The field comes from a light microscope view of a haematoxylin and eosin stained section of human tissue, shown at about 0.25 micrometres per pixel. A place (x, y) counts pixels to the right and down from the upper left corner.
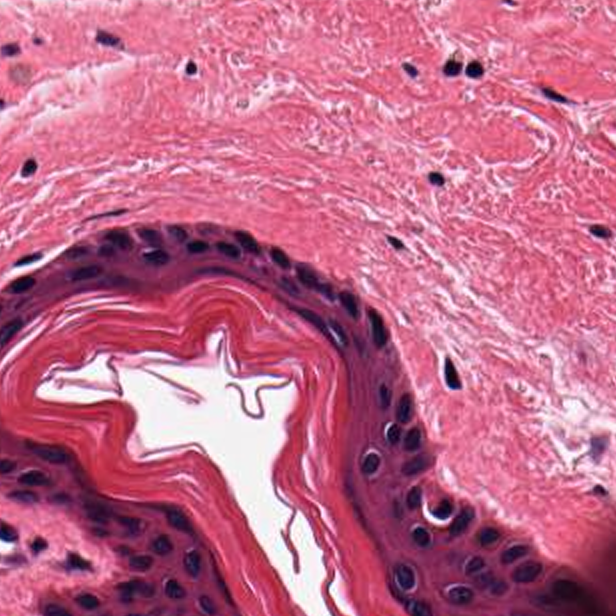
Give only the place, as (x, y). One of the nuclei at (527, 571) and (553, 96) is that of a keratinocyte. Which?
(527, 571)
